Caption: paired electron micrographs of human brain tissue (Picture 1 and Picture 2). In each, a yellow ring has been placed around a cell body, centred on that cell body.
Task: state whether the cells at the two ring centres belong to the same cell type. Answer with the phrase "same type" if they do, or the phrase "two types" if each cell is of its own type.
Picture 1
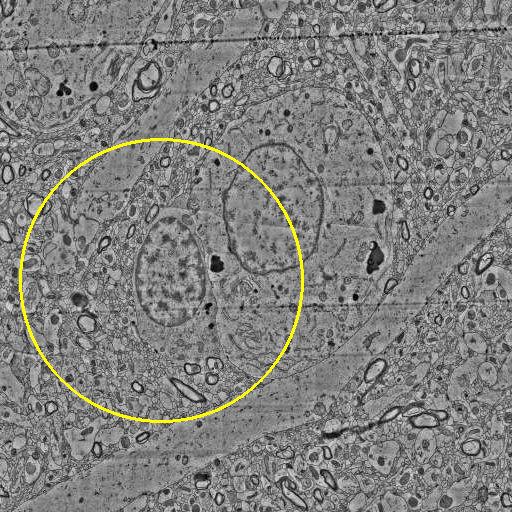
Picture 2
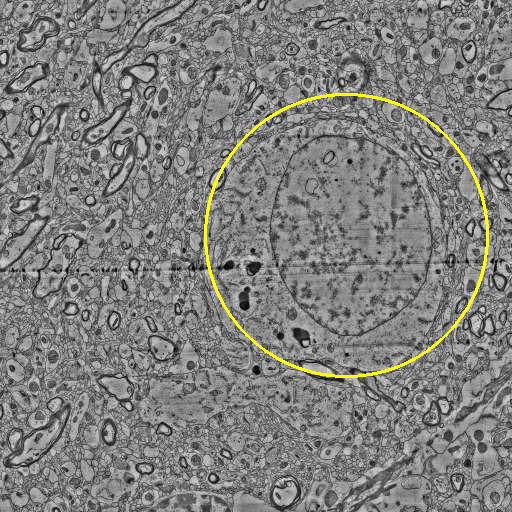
two types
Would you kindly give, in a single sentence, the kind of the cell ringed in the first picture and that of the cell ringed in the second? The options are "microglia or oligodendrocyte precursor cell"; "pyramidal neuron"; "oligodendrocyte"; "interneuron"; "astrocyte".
The second cell is a pyramidal neuron, and the first cell is an oligodendrocyte.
